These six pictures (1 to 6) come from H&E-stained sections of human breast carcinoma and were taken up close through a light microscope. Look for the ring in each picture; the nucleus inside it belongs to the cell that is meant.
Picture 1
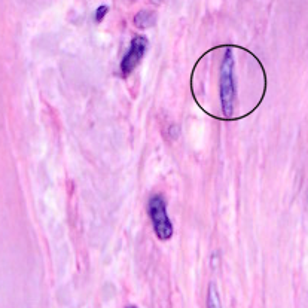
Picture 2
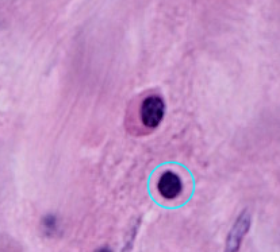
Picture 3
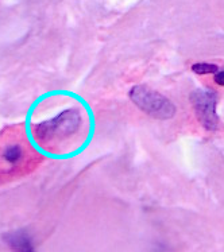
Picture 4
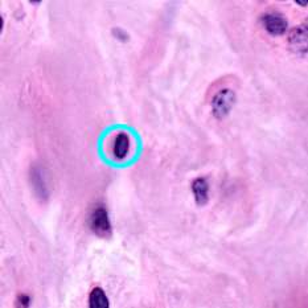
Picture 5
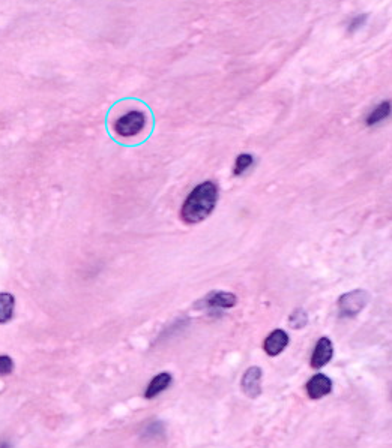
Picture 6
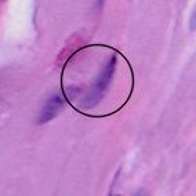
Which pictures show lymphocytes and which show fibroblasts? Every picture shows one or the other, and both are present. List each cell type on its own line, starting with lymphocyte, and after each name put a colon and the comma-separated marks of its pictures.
lymphocyte: 2, 4, 5
fibroblast: 1, 3, 6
